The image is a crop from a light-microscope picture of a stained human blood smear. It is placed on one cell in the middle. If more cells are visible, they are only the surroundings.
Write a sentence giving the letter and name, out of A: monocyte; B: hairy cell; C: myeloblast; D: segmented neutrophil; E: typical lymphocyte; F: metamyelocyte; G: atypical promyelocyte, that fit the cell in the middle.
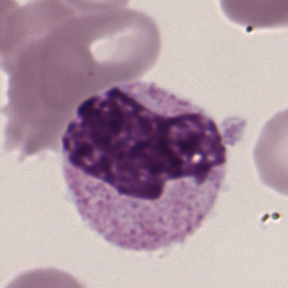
Correctly, option D names the cell in the middle a segmented neutrophil.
